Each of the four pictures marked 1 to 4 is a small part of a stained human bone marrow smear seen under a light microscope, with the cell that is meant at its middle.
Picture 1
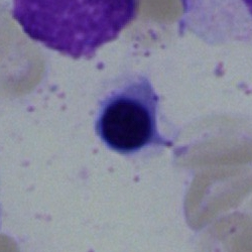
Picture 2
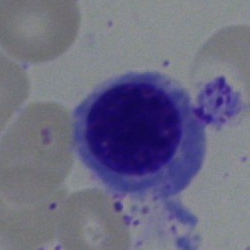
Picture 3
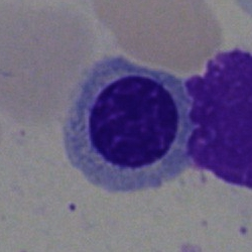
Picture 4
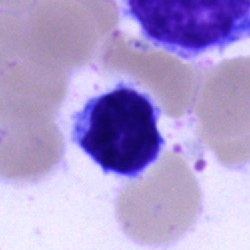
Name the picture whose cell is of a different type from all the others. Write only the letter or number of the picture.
4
